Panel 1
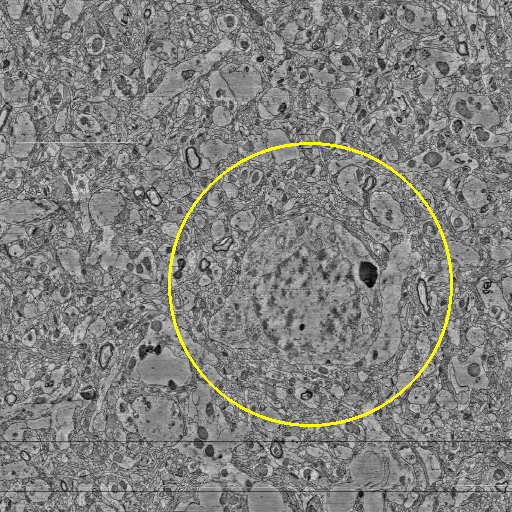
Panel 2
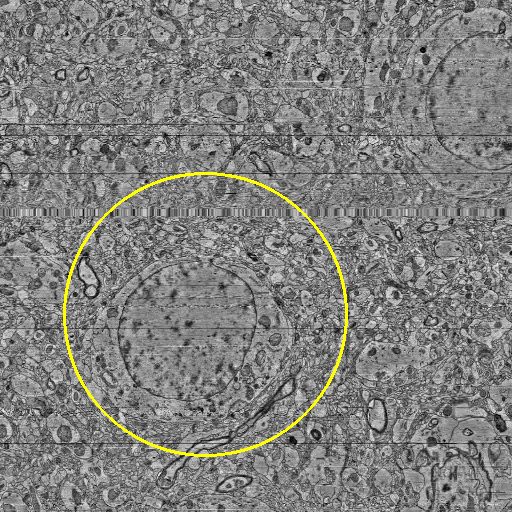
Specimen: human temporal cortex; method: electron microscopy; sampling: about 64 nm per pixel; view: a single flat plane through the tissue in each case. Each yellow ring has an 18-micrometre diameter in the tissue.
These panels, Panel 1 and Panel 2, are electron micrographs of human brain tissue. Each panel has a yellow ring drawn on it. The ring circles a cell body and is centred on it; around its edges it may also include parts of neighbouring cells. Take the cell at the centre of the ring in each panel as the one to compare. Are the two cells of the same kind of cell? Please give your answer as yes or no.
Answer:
no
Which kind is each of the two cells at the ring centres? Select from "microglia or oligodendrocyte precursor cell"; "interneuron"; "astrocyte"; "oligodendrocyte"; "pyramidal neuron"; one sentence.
The cell at the centre of the ring is an interneuron in the first picture and a pyramidal neuron in the second.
